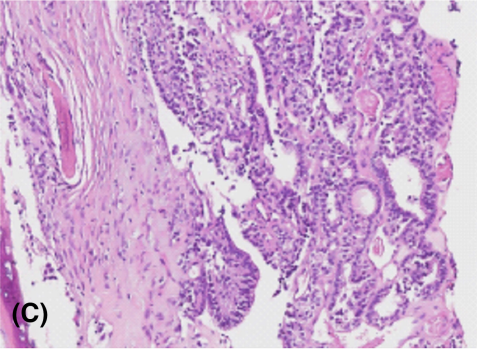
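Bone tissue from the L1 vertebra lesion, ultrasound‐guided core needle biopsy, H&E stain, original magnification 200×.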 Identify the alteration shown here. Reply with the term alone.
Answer: Neoplastic follicular type infiltration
